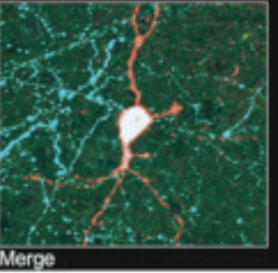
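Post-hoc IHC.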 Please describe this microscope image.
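Several red processes leave the cell body, one thick process running upward and others extending downward and to the side. Around the cell, many thin, beaded cyan fibres criss-cross the field in all directions against a dark background. The white cell body stands out clearly from the surrounding fibre network.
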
